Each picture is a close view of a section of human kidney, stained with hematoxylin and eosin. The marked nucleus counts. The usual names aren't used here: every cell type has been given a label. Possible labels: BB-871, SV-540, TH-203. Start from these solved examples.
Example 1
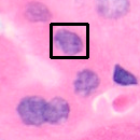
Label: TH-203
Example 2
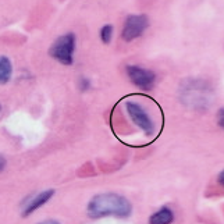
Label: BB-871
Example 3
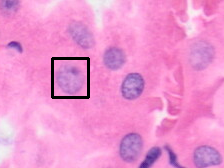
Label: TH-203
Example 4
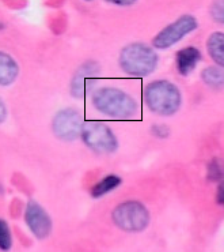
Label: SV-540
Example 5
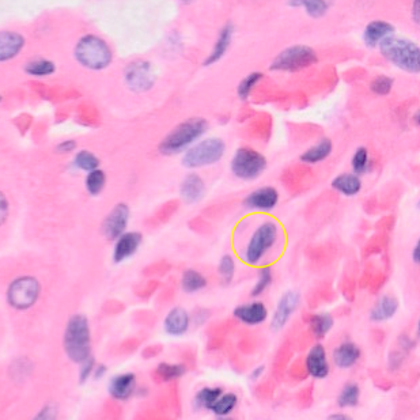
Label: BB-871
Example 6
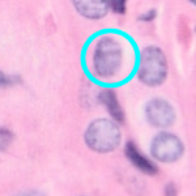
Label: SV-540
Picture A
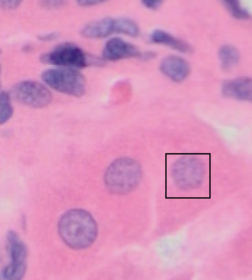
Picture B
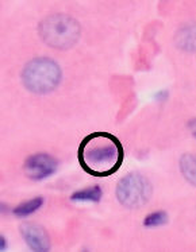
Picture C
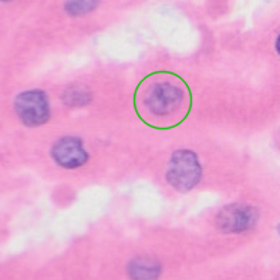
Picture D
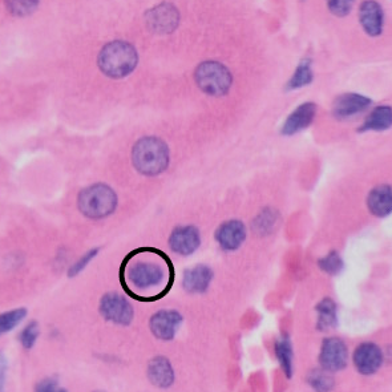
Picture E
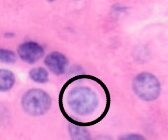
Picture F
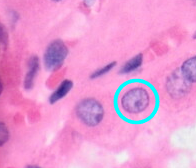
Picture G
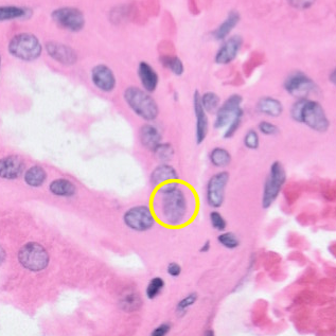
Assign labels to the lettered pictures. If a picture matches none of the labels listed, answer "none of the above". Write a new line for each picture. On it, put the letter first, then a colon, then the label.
A: TH-203
B: none of the above
C: TH-203
D: none of the above
E: SV-540
F: TH-203
G: SV-540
